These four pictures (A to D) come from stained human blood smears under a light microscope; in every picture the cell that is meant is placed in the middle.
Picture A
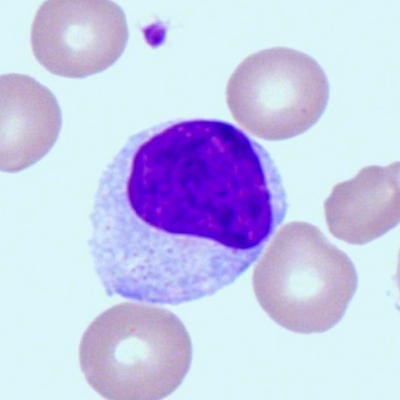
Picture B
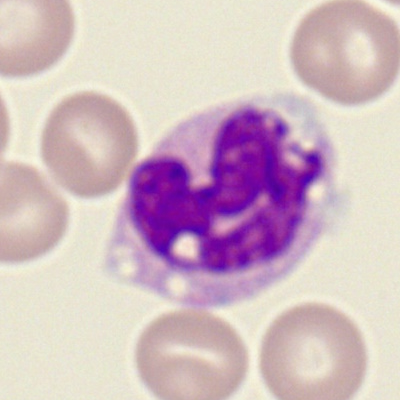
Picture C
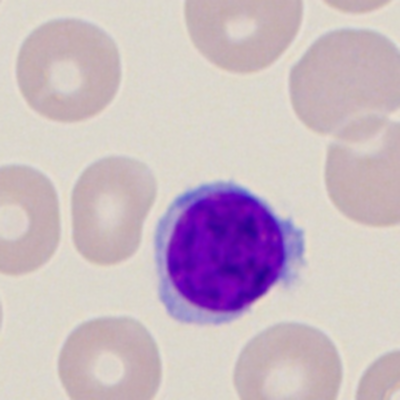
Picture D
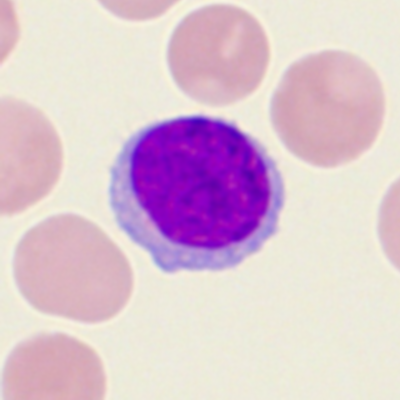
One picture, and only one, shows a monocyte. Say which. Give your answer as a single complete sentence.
The cell in picture B is the monocyte.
